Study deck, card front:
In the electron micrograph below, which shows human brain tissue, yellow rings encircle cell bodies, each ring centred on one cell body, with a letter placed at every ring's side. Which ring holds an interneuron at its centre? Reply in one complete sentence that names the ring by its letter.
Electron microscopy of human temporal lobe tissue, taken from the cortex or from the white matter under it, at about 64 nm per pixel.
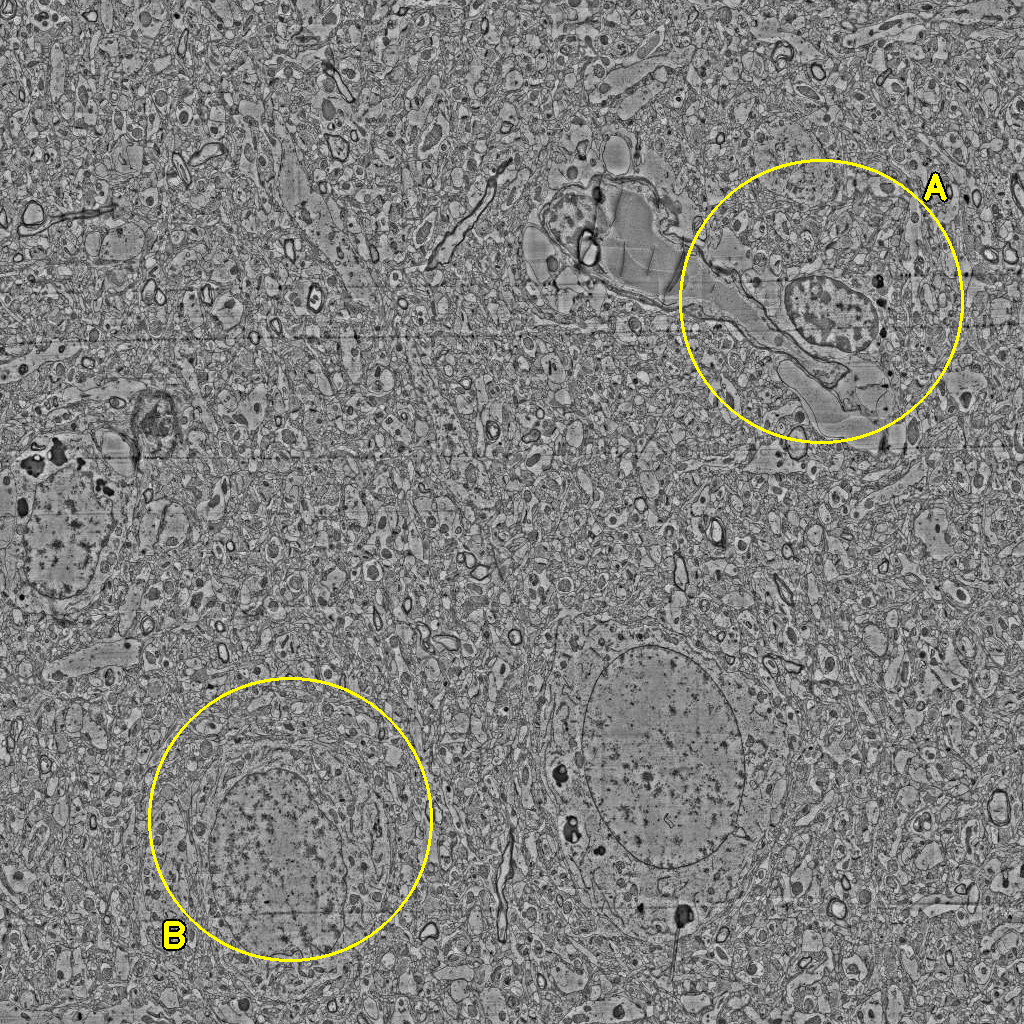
The cell asked for sits at the centre of ring B in the picture.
